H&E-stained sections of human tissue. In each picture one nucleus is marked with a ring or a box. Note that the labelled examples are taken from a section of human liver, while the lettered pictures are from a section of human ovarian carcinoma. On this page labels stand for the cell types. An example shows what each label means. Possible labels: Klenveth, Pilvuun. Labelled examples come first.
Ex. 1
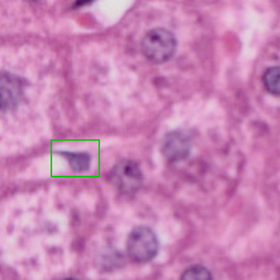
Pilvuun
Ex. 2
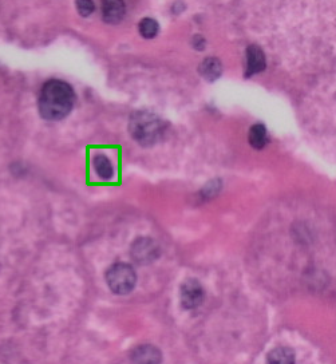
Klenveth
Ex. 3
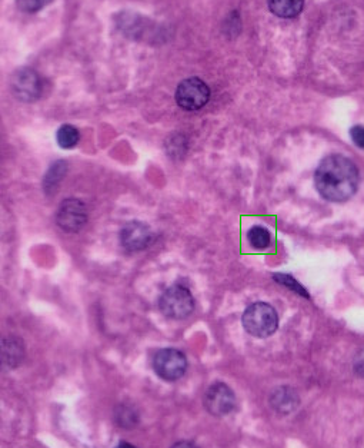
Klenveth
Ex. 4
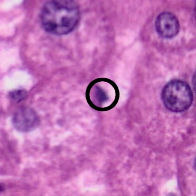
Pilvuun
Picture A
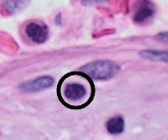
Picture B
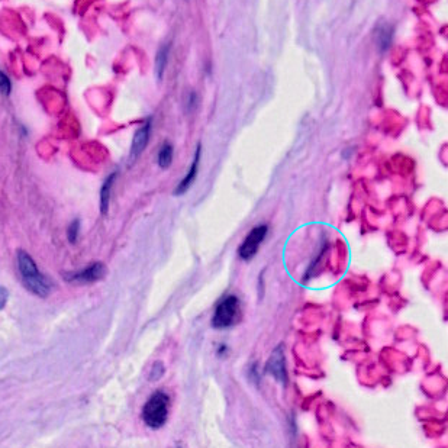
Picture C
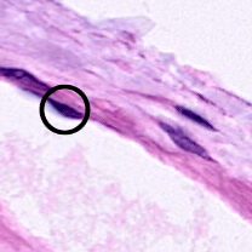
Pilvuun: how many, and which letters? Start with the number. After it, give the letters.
2, namely B, C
